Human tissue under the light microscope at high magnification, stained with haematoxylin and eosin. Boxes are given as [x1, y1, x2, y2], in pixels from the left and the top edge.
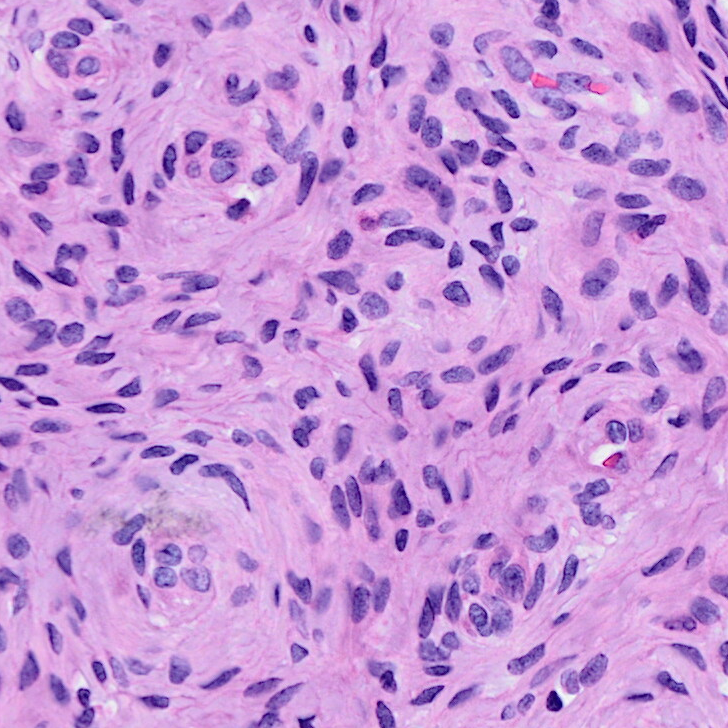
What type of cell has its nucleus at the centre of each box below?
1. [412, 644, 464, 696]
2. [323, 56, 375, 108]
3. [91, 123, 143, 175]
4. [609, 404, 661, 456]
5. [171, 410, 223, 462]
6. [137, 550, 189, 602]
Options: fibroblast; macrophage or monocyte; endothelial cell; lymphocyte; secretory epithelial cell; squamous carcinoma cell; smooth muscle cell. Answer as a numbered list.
1. fibroblast
2. fibroblast
3. fibroblast
4. endothelial cell
5. fibroblast
6. endothelial cell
